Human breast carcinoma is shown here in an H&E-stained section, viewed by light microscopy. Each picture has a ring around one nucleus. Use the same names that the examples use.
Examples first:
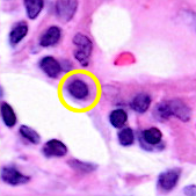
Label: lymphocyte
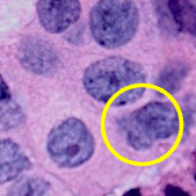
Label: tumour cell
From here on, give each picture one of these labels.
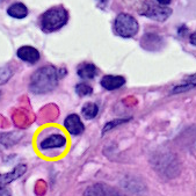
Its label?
lymphocyte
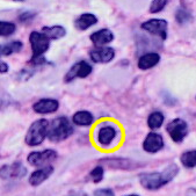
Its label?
lymphocyte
